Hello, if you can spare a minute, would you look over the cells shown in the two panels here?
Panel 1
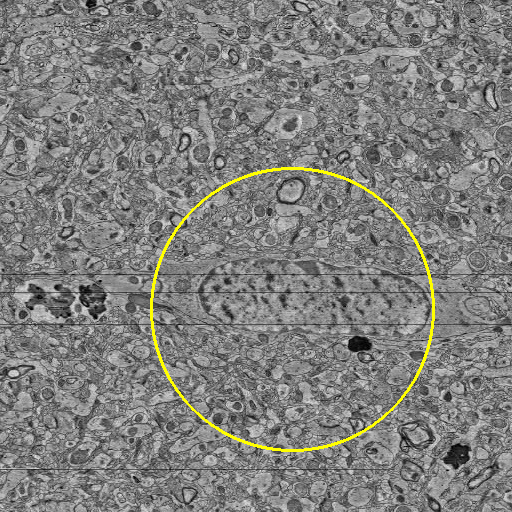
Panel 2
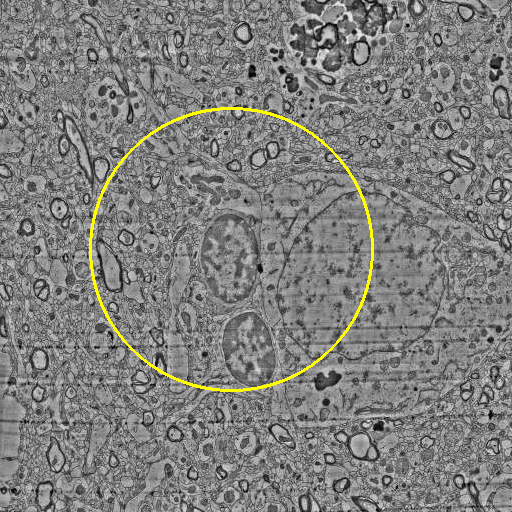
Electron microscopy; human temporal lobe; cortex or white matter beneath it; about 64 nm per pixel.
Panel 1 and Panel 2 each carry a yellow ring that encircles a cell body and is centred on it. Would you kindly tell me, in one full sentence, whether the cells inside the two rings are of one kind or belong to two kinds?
The cells at the centres of the rings in Panel 1 and Panel 2 belong to two kinds.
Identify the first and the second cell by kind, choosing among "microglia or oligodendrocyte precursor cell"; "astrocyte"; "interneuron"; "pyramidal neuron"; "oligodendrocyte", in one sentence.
The one in the first picture is a microglial cell or oligodendrocyte precursor cell, while the one in the second is an oligodendrocyte.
